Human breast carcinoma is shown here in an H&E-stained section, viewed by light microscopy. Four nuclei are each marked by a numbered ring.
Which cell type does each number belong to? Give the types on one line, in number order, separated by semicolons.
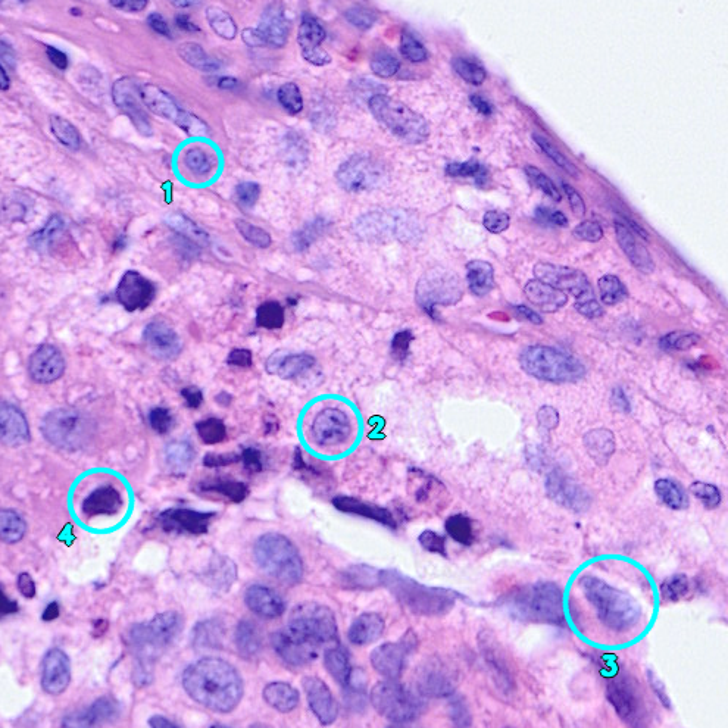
endothelial cell; macrophage, monocyte or dendritic cell; carcinoma cell; carcinoma cell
